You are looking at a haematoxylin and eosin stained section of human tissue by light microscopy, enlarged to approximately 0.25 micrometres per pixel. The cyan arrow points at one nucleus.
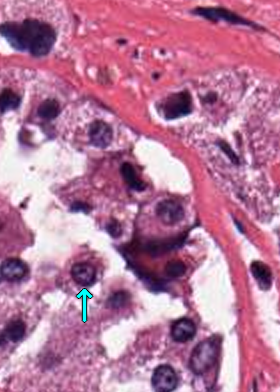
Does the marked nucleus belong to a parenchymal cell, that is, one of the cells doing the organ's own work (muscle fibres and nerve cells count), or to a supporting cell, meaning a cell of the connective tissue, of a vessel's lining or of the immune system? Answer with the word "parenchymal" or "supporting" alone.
parenchymal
